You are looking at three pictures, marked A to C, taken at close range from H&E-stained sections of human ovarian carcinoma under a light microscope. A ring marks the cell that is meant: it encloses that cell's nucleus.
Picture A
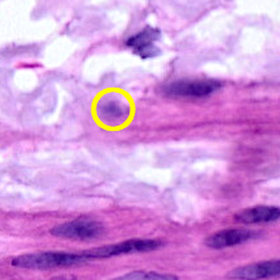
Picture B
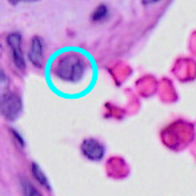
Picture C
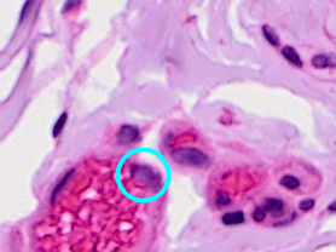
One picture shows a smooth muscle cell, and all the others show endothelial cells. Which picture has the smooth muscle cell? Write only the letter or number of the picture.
A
